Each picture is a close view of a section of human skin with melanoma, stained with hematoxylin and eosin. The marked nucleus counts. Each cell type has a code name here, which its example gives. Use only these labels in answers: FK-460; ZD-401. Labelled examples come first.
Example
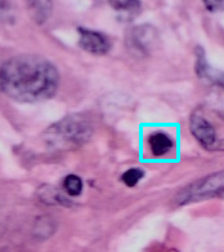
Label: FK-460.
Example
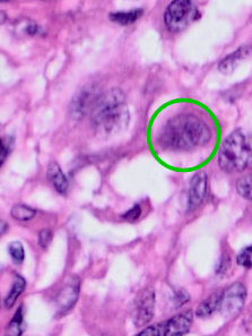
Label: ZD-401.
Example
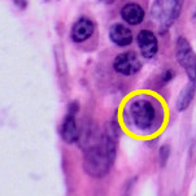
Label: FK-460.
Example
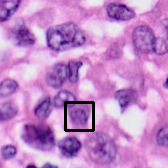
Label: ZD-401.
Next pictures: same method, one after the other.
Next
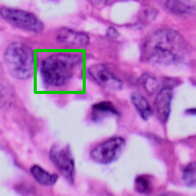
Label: ZD-401.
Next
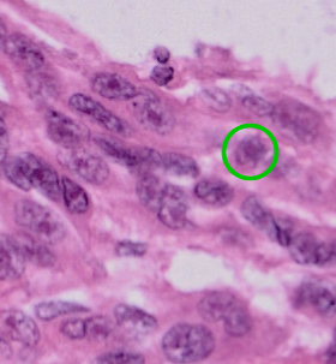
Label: ZD-401.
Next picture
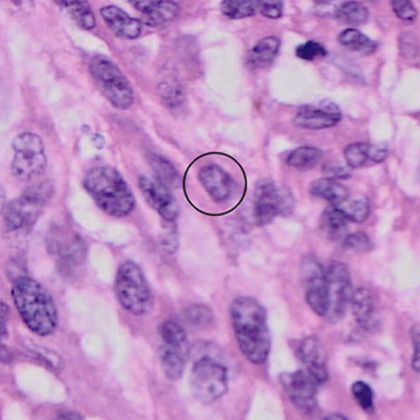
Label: ZD-401.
